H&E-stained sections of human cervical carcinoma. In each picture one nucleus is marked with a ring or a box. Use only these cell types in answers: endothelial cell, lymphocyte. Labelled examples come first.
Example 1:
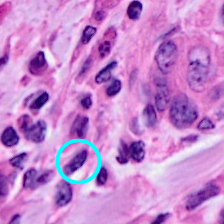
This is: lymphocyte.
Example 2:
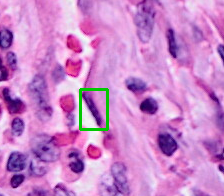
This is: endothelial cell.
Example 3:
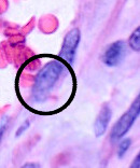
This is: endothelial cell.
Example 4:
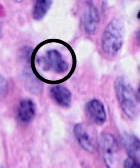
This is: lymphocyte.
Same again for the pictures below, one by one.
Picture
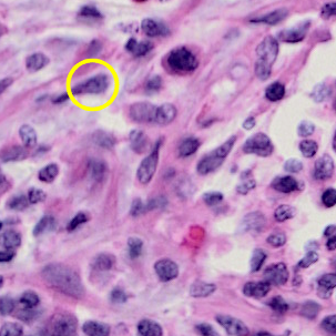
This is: lymphocyte.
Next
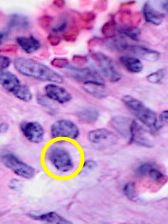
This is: lymphocyte.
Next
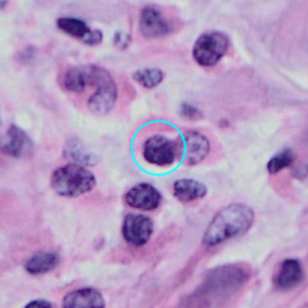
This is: lymphocyte.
